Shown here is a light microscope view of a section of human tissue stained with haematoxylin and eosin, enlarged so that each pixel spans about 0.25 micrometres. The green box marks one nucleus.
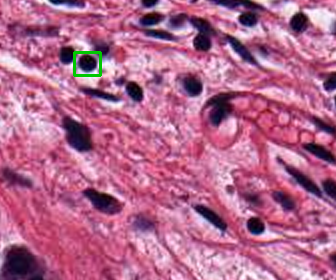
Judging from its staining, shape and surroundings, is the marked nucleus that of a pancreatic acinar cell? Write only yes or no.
no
